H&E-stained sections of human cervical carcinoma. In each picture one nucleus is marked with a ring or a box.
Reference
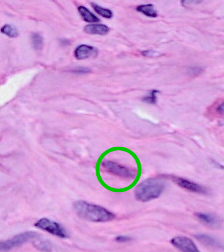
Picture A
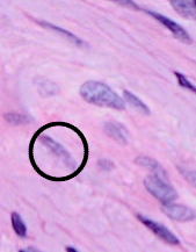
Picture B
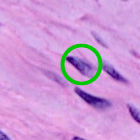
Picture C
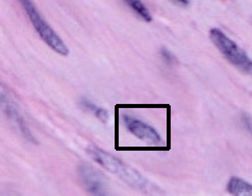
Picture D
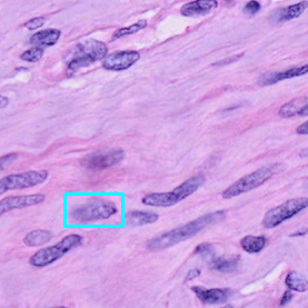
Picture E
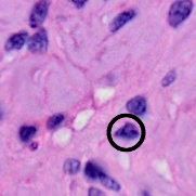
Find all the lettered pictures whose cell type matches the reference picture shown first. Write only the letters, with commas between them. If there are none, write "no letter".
A, D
